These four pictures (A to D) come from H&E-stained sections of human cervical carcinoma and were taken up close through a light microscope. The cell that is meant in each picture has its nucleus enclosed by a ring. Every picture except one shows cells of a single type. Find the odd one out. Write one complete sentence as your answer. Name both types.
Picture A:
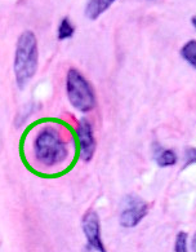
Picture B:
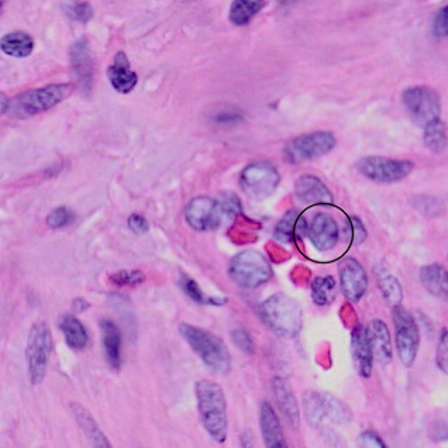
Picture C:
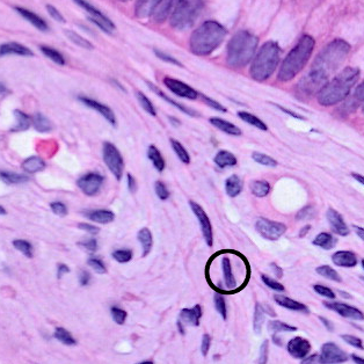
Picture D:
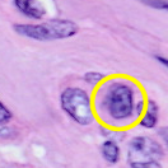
The others show endothelial cells, but picture C shows a fibroblast.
